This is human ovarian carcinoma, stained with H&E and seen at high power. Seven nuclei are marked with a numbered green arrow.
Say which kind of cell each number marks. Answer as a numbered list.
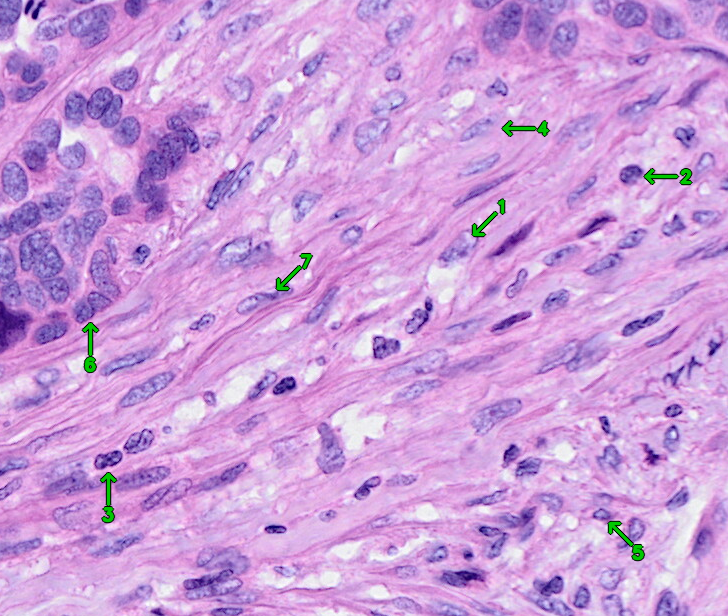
1. fibroblast
2. lymphocyte
3. lymphocyte
4. fibroblast
5. fibroblast
6. carcinoma cell
7. fibroblast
